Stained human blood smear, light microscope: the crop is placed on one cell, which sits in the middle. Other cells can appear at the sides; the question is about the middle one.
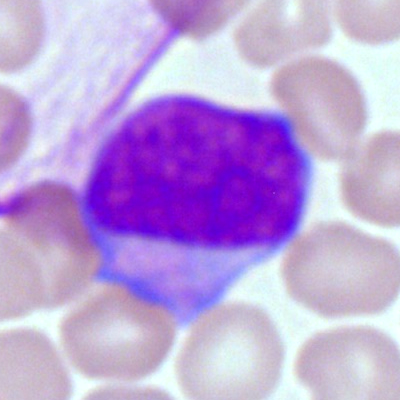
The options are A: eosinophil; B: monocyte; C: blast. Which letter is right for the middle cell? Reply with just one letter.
C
